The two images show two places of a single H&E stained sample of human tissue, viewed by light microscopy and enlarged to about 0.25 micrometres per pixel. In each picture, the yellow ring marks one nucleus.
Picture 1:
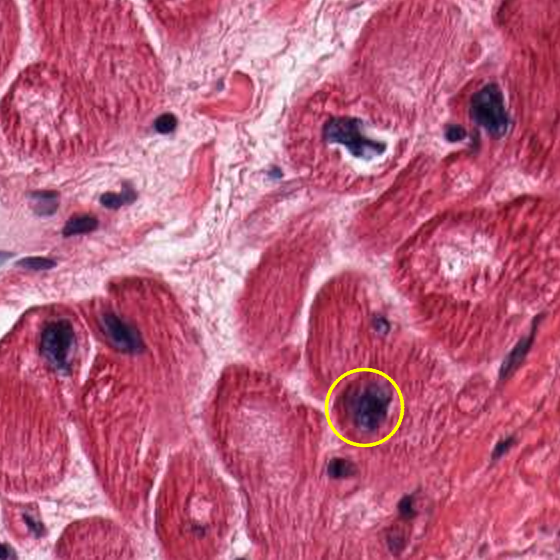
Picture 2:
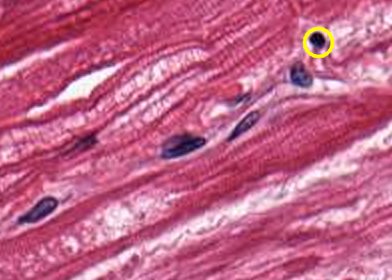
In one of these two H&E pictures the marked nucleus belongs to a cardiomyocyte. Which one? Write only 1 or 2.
1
